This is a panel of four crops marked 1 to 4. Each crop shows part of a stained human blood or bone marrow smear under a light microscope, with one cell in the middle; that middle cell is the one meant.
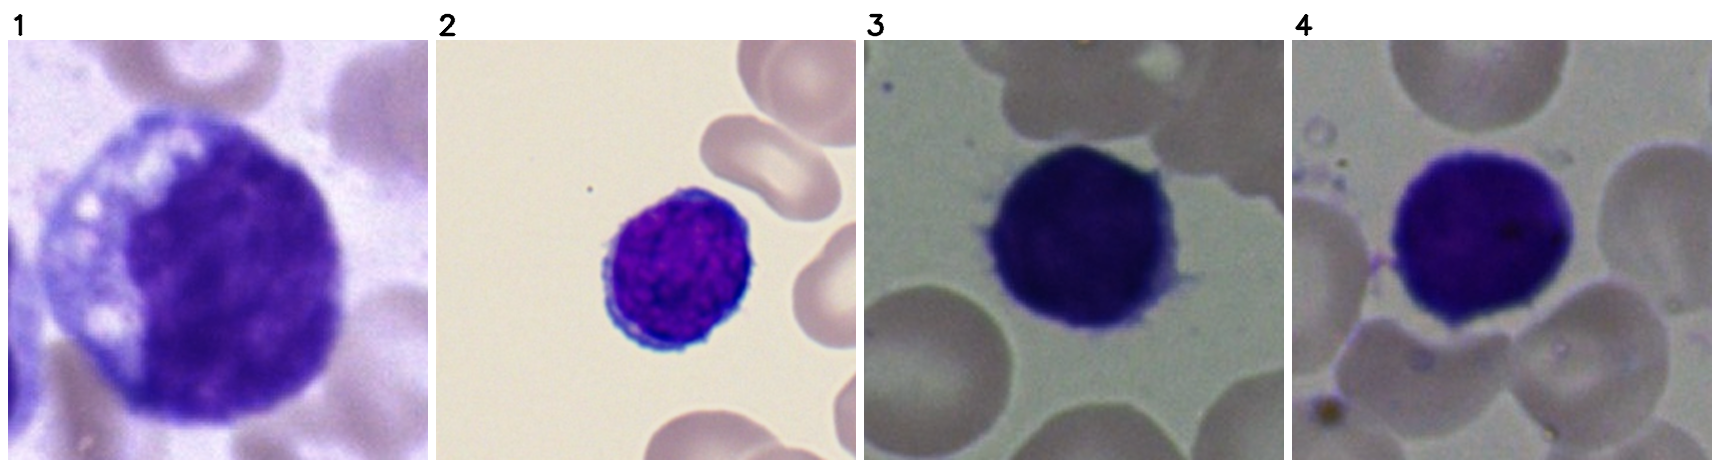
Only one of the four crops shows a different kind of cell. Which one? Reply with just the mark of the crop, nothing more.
1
